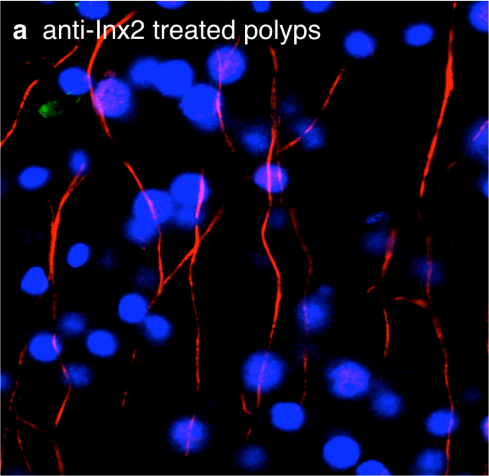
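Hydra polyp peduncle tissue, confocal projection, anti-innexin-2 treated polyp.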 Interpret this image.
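Long, slender, wavy red fibres run mostly lengthwise across the field, some branching or crossing one another, and are far longer than any nucleus is wide. Between them lie numerous blue nuclei, round to oval, of varied size; some small and densely stained, others larger and paler with a granular texture, and a few appearing pinkish where they overlap red. The nuclei are scattered rather than in layers. Green spots along the red fibres are practically absent.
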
